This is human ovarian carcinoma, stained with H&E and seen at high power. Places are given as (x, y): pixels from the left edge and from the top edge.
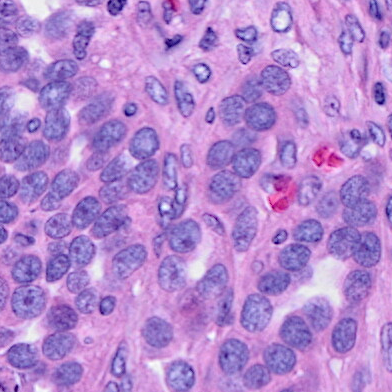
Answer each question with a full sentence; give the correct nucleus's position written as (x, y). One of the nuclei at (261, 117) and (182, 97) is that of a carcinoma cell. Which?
The correct choice is the nucleus at (261, 117), which belongs to a carcinoma cell.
